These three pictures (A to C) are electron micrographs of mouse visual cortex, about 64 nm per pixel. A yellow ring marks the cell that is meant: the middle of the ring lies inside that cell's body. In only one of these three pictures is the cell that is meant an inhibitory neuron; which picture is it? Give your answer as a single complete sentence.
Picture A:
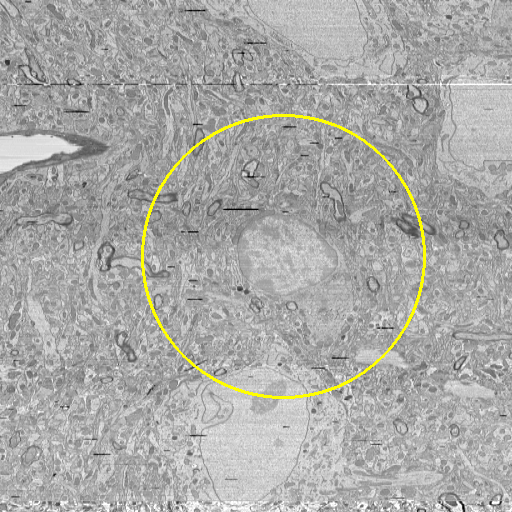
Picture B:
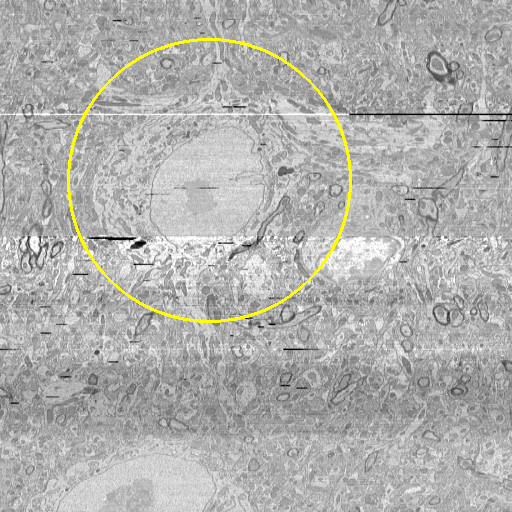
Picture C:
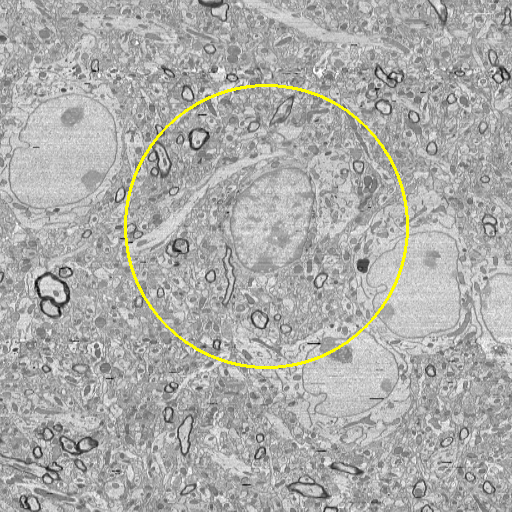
The picture with the inhibitory neuron is B.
